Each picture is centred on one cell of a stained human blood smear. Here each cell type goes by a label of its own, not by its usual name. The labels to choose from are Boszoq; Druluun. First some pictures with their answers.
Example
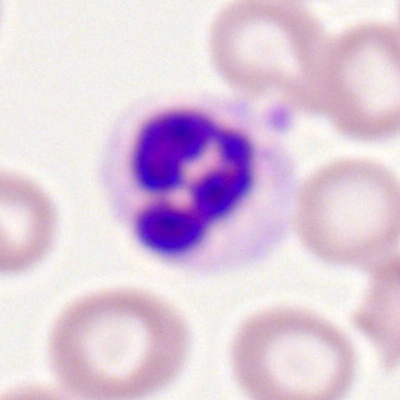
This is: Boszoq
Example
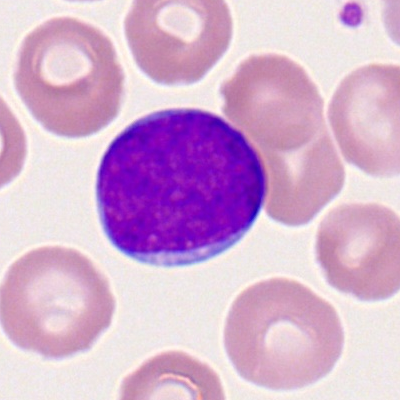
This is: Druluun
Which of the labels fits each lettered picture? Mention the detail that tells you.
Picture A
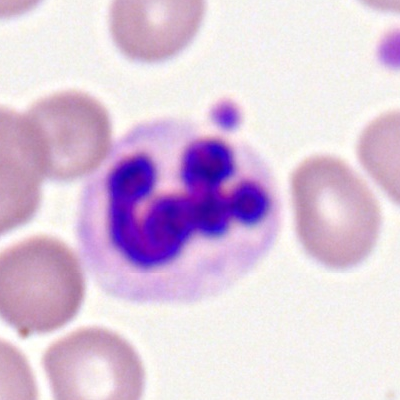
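Boszoq: The cytoplasm is abundant and pale pinkish-lilac.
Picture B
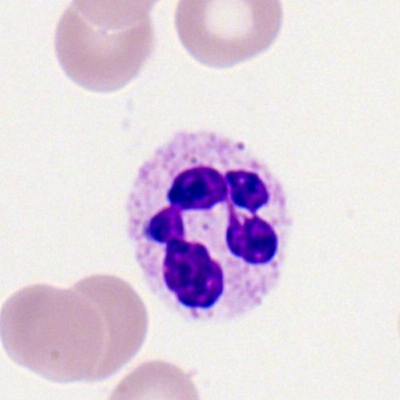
Boszoq: The cytoplasm is plentiful and pale pink.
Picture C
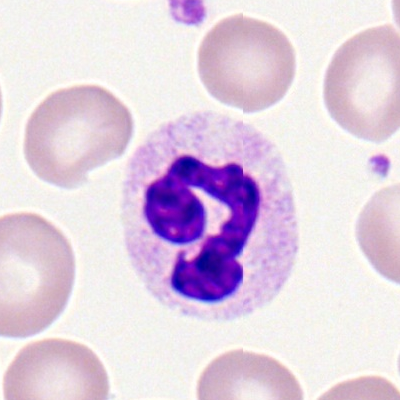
Boszoq: The cytoplasm is plentiful and pale pinkish-lilac.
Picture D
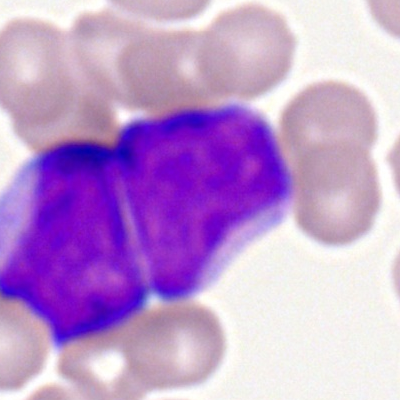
Druluun: The nucleus is a single unlobed mass that fills almost the whole cell.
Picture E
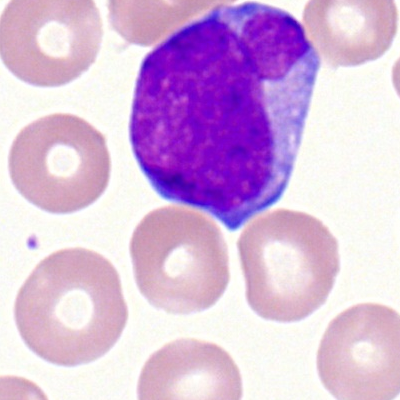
Druluun: The nucleus fills most of the cell.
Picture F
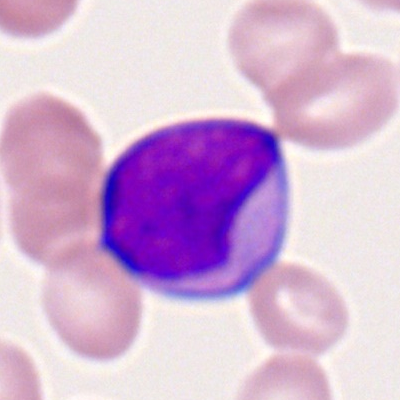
Druluun: The nucleus fills most of the cell.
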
